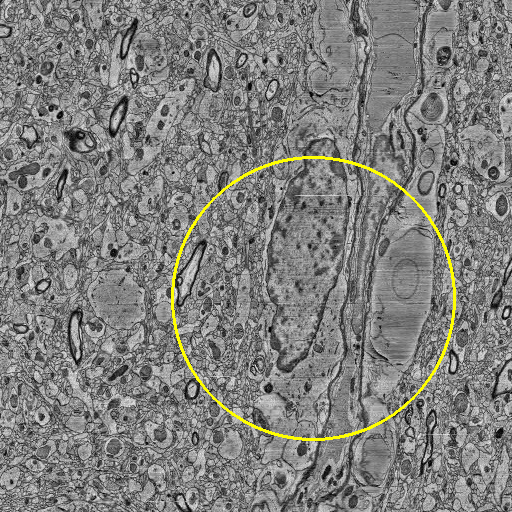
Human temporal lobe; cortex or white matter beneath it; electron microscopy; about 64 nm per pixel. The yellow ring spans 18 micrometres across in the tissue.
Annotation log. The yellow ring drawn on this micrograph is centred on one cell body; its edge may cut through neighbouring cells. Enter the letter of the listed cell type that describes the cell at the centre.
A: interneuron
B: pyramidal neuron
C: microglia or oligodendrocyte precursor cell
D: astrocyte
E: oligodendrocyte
C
